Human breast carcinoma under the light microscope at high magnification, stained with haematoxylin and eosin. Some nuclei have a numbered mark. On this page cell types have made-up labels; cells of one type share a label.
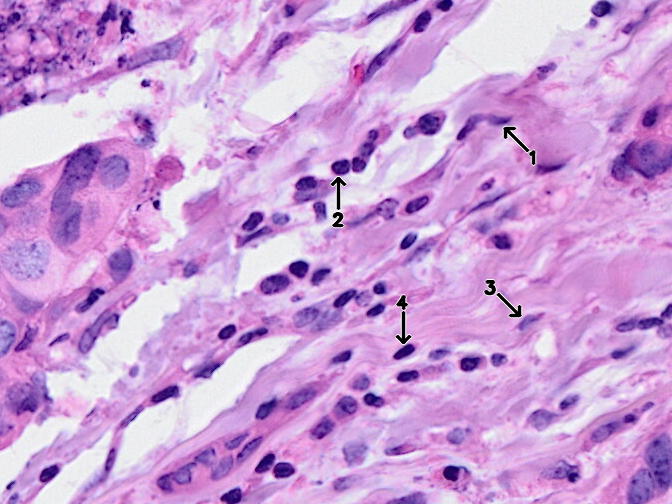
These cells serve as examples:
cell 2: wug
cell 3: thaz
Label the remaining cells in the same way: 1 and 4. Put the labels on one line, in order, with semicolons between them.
thaz; wug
